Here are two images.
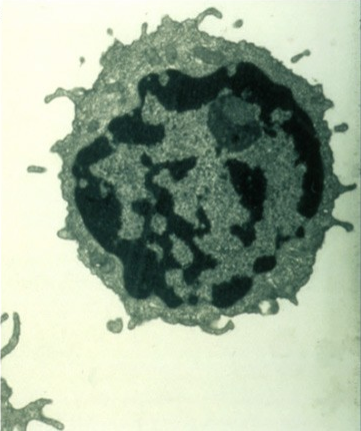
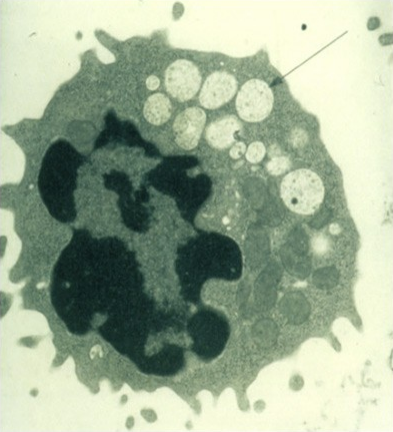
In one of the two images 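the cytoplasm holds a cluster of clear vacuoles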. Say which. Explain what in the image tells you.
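First image: the thin rim of cytoplasm shows no clear vacuoles. Second image: many round, pale vacuoles of different sizes are grouped in the cytoplasm.
Hence: the second image.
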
